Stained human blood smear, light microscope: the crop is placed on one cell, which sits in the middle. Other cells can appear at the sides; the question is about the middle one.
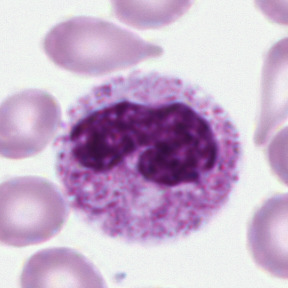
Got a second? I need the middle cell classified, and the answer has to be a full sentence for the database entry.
Centrally within this crop lies a band neutrophil.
